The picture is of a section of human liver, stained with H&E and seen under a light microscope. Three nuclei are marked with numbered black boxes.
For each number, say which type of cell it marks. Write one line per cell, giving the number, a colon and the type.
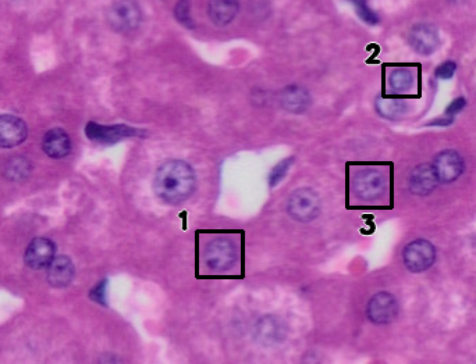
1: hepatocyte
2: cholangiocyte
3: hepatocyte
